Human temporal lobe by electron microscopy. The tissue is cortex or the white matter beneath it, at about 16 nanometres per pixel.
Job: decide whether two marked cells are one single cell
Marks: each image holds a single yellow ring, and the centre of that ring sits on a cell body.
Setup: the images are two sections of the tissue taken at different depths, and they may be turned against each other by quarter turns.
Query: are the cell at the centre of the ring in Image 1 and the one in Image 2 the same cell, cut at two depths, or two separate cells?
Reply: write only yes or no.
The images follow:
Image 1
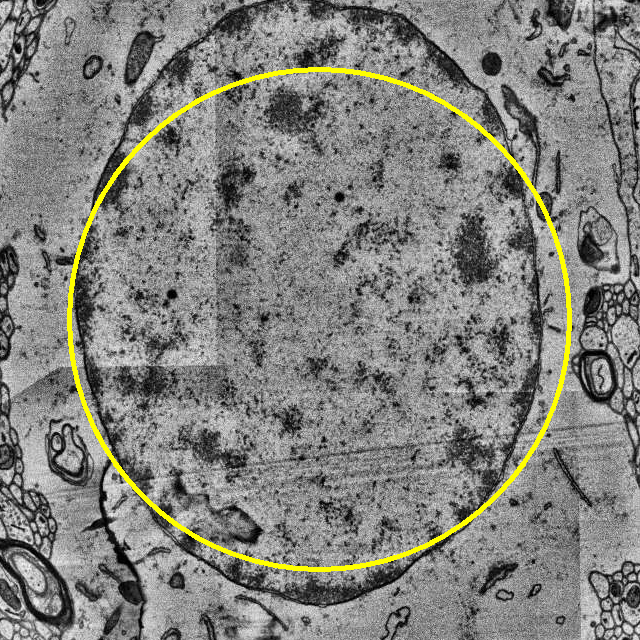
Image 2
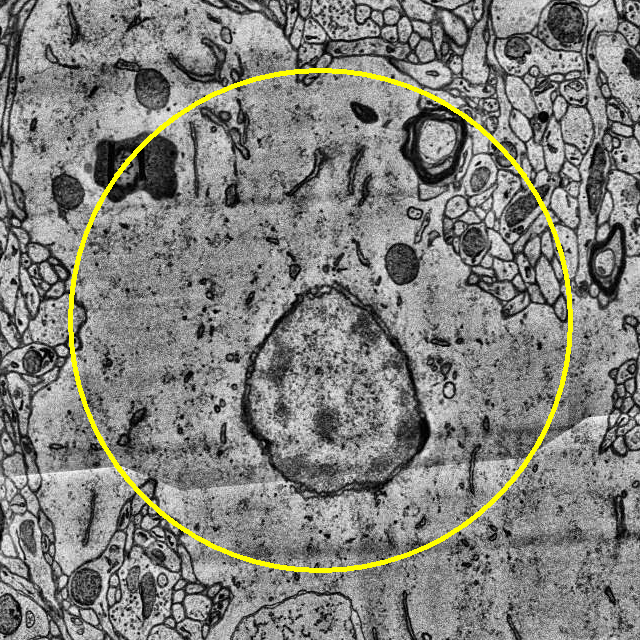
no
